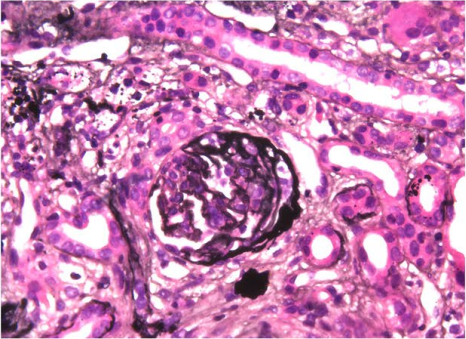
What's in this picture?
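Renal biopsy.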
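This is kidney cortex with a glomerulus at the center, surrounded by tubules. The surrounding tubules are lined by cuboidal epithelial cells with pink cytoplasm and round purple nuclei. The tubules lie within an interstitium that holds scattered cells.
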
